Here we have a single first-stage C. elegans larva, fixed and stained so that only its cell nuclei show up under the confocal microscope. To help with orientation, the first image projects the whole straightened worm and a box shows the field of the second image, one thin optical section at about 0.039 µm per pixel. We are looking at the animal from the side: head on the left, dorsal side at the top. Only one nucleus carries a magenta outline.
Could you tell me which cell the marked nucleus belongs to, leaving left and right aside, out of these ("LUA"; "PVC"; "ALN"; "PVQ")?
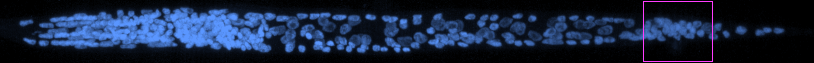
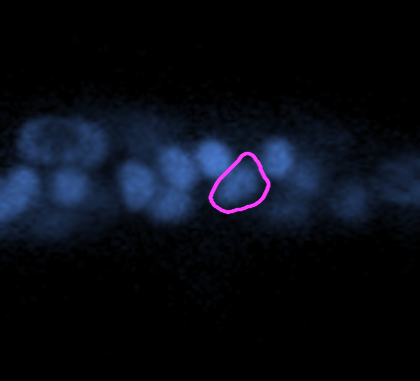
PVC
